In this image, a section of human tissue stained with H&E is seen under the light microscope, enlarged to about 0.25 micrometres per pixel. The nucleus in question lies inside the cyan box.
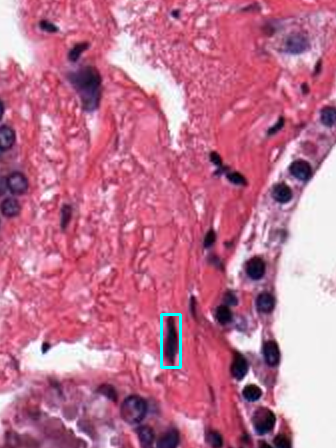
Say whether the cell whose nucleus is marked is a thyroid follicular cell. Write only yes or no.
no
